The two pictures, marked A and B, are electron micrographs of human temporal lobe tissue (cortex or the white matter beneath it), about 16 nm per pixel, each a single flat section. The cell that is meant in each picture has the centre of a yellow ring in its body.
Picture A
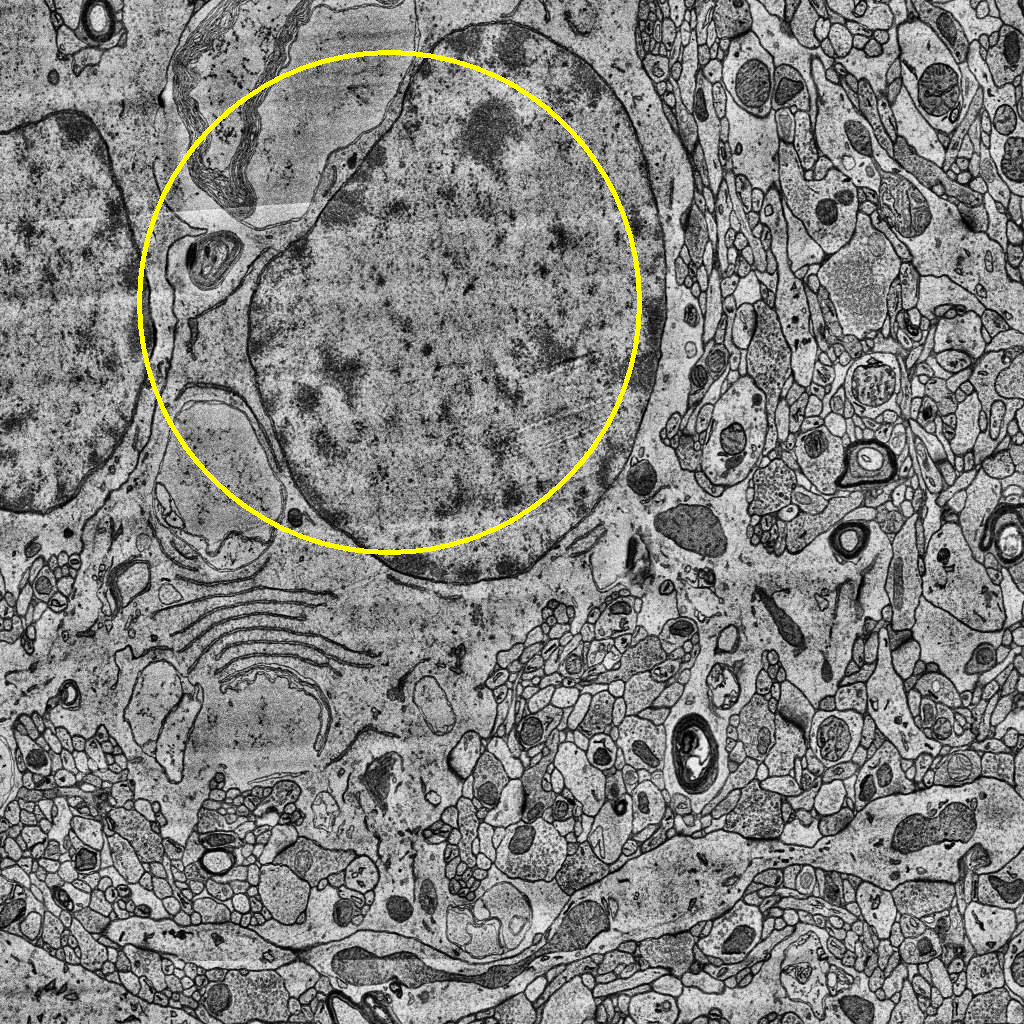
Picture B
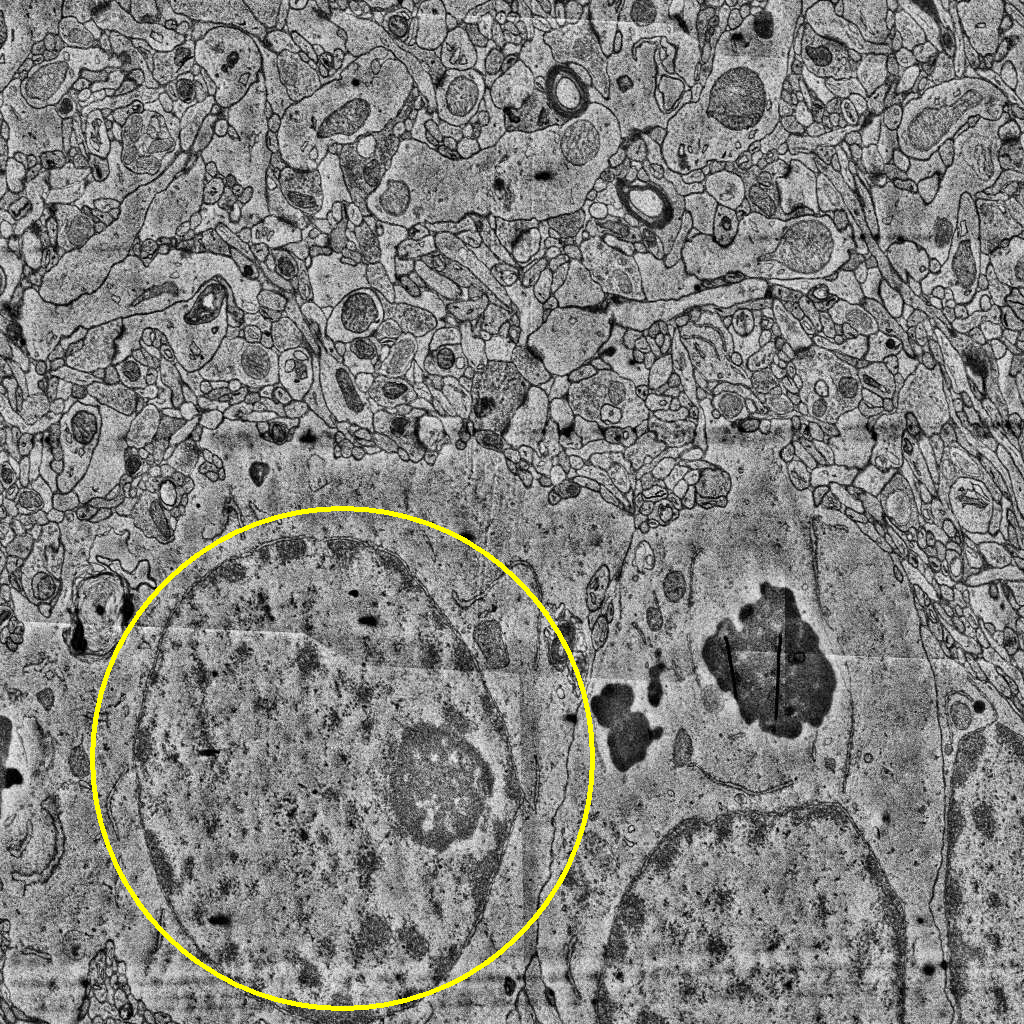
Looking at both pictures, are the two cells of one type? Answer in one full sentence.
Yes, the two pictures both show astrocytes.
